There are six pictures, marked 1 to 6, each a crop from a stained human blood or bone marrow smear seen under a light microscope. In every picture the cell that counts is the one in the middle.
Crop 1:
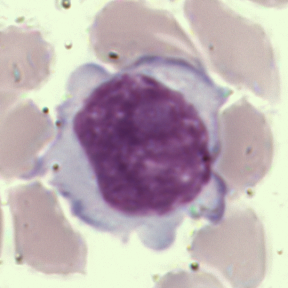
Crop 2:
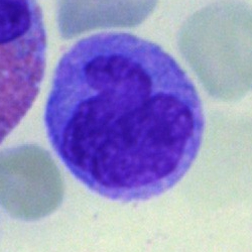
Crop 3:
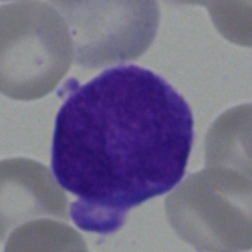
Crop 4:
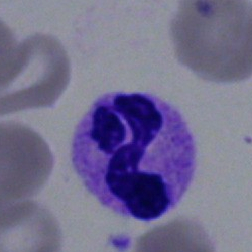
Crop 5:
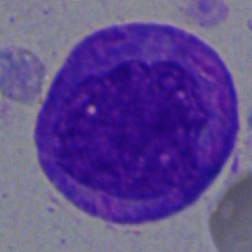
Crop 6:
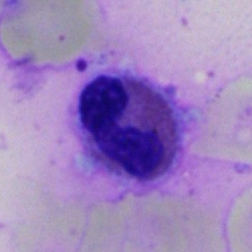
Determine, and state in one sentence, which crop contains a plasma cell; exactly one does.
Crop 1 is the correct crop, and it shows a plasma cell.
